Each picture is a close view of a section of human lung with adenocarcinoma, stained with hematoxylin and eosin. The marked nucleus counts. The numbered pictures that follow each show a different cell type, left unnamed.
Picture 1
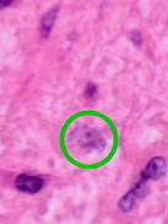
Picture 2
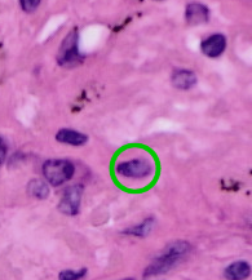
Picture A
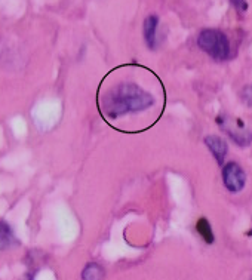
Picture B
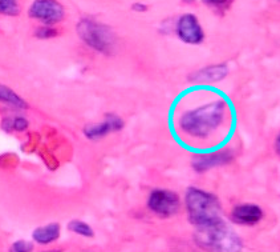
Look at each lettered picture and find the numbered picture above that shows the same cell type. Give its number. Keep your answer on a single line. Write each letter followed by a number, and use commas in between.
A 1, B 1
